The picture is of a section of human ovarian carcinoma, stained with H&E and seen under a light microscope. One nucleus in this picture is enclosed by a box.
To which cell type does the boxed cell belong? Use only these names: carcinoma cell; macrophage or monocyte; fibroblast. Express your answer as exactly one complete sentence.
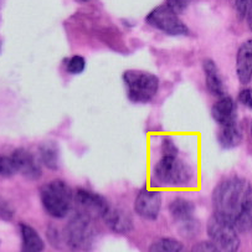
As far as its identity is concerned, the boxed cell is a macrophage or monocyte.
